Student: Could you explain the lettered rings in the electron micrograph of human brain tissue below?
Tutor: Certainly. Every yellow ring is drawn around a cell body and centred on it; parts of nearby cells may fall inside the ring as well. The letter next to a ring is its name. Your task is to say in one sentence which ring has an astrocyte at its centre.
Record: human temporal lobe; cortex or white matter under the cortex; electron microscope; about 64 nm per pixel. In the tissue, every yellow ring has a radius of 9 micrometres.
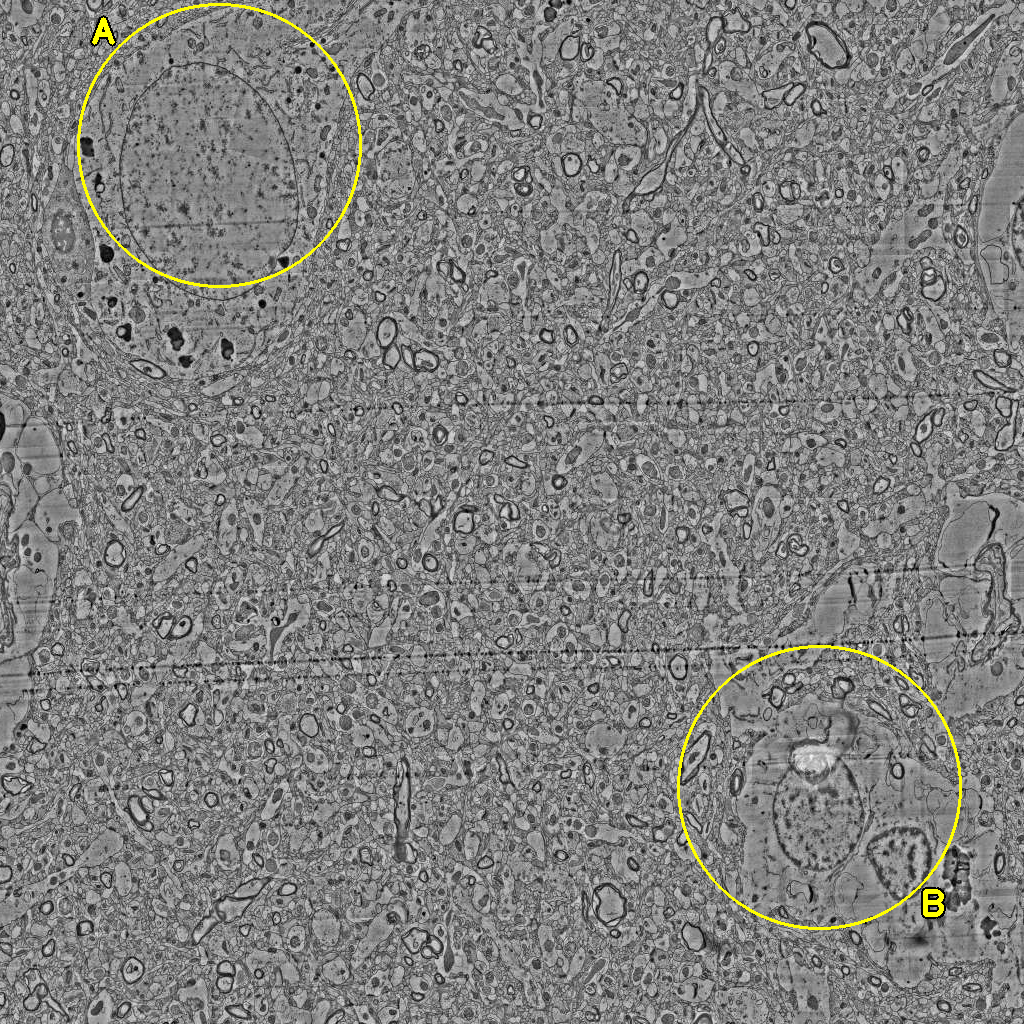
The cell at the centre of ring B is the one.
